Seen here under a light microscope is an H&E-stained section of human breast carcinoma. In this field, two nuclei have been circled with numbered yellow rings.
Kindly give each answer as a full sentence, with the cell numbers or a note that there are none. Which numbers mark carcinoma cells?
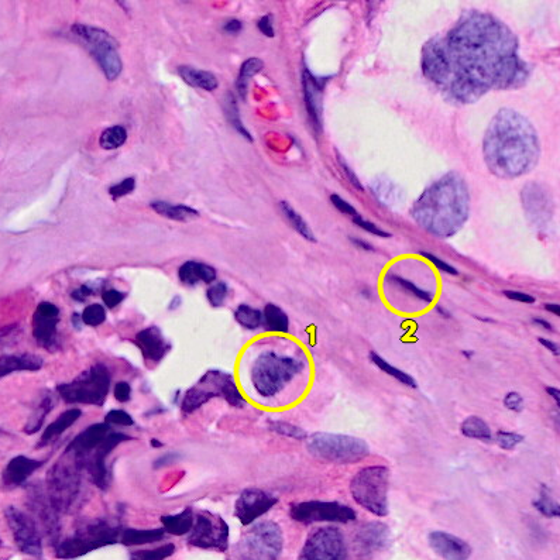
Exactly one numbered cell is a carcinoma cell, and that cell is number 1.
